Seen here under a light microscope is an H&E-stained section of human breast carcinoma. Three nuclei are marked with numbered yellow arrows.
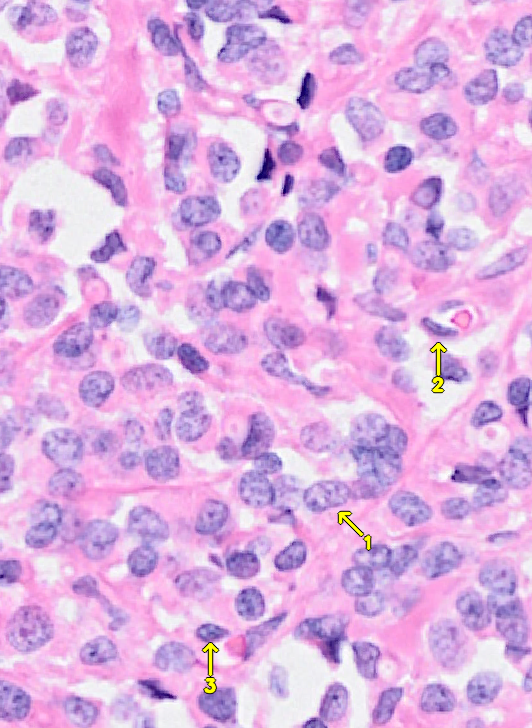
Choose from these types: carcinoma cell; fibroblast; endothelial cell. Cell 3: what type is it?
endothelial cell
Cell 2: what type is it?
endothelial cell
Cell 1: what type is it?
carcinoma cell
